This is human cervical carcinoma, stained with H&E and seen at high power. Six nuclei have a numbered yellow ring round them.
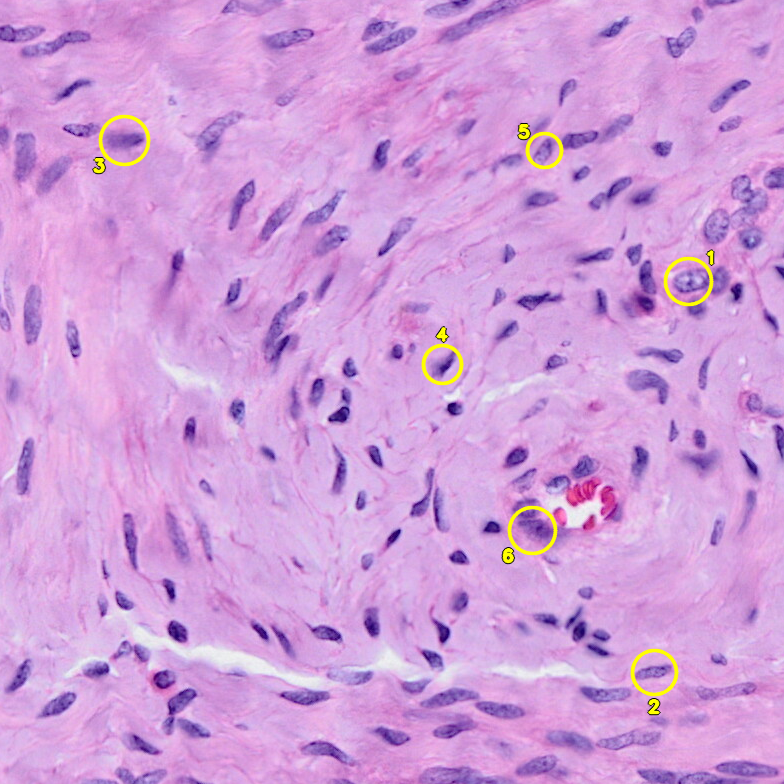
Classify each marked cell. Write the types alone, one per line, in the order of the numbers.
endothelial cell
fibroblast
fibroblast
fibroblast
fibroblast
endothelial cell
